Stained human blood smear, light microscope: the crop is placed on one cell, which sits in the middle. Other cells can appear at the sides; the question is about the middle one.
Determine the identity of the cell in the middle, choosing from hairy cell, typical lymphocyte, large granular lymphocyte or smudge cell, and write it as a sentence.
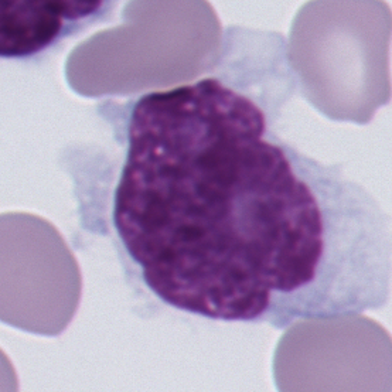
At the center of the crop sits a hairy cell.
